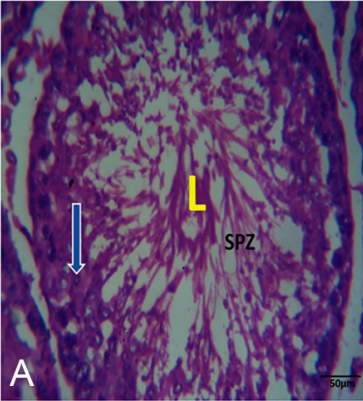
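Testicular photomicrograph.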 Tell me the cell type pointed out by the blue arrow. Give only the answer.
spermatogenic cells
